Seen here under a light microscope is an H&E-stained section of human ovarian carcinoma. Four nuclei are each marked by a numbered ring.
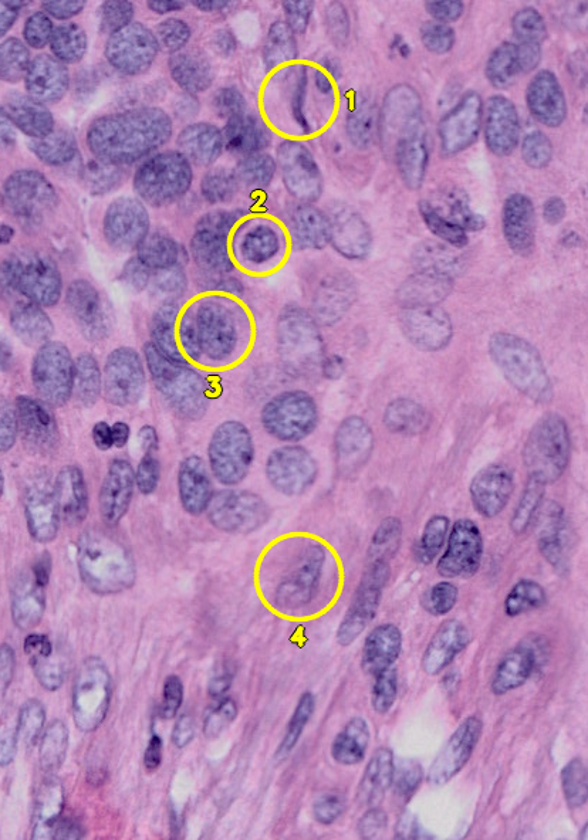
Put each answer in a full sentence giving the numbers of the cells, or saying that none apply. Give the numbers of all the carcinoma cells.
Of the cells bearing numbers, the only one that is a carcinoma cell is cell 3.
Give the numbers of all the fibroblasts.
Cells 1 and 4 are of one type, namely fibroblasts.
